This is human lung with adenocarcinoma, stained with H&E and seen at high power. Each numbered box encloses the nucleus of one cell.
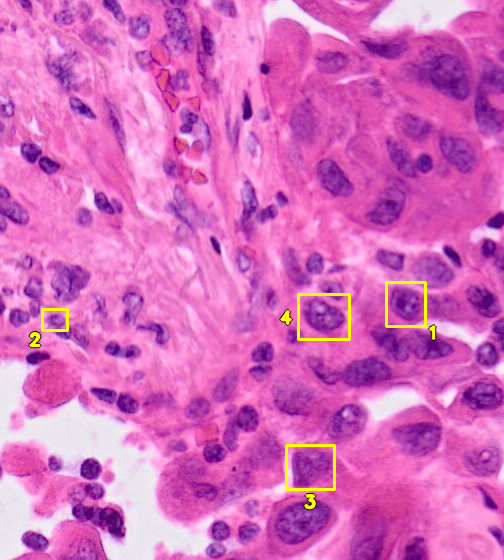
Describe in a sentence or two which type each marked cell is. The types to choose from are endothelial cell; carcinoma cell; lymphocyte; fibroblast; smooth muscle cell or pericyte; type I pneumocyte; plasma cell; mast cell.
Cells 1, 3 and 4 are carcinoma cells. Cell 2 is a lymphocyte.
